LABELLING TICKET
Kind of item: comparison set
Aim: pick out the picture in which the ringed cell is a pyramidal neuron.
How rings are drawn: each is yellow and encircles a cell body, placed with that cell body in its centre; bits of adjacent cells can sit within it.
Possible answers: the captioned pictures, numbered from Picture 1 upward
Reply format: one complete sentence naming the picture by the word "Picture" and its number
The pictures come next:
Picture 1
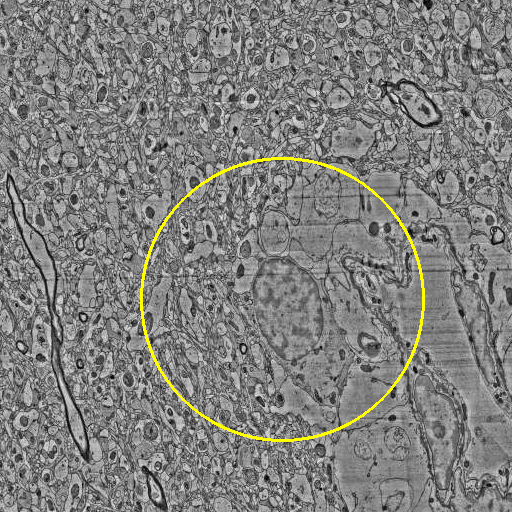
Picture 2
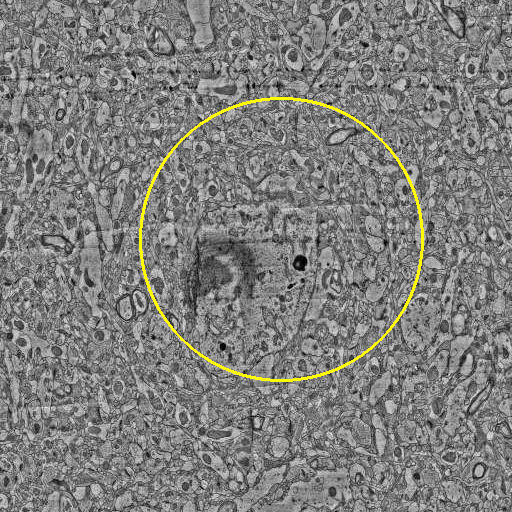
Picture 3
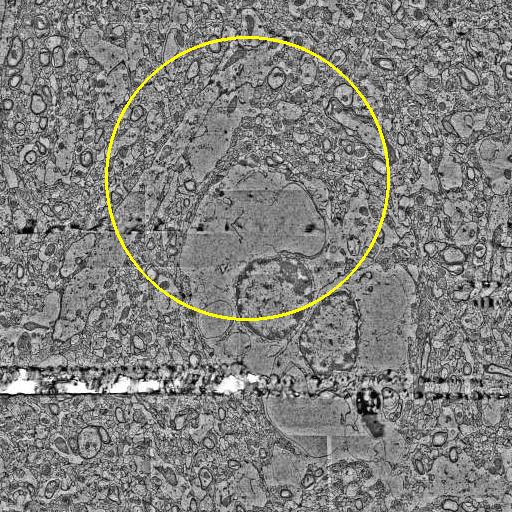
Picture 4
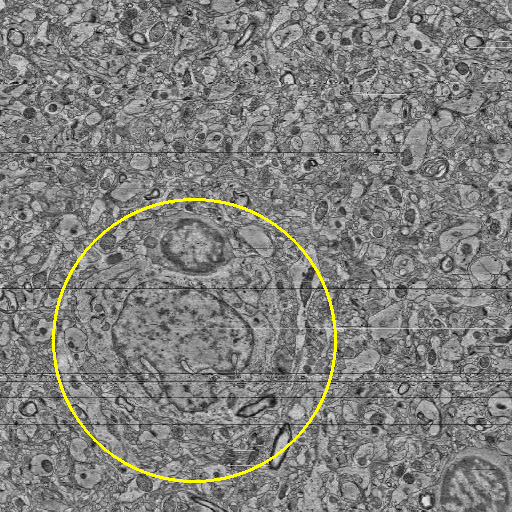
The cell centred inside the yellow ring in Picture 2 is the requested one.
